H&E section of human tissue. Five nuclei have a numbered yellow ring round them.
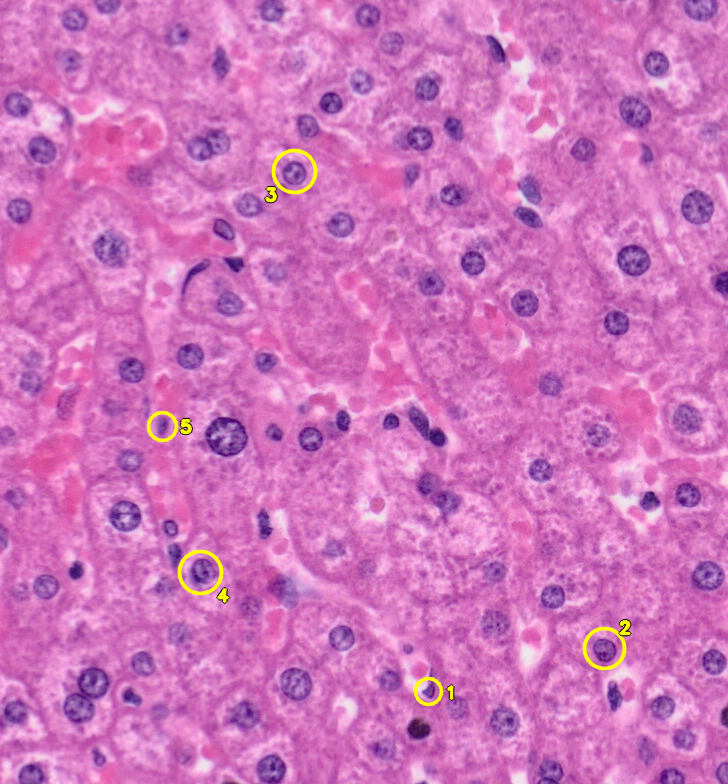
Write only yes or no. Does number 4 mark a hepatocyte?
yes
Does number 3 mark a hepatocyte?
yes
